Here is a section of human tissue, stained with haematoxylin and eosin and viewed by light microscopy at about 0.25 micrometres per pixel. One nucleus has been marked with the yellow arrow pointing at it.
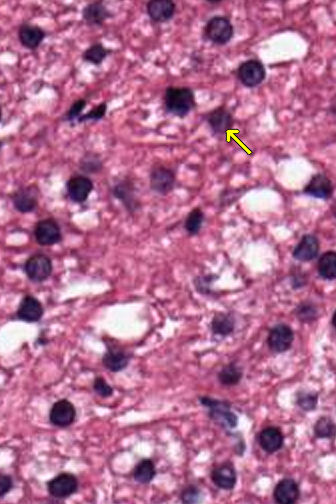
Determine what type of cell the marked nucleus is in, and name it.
adrenal cortical cell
